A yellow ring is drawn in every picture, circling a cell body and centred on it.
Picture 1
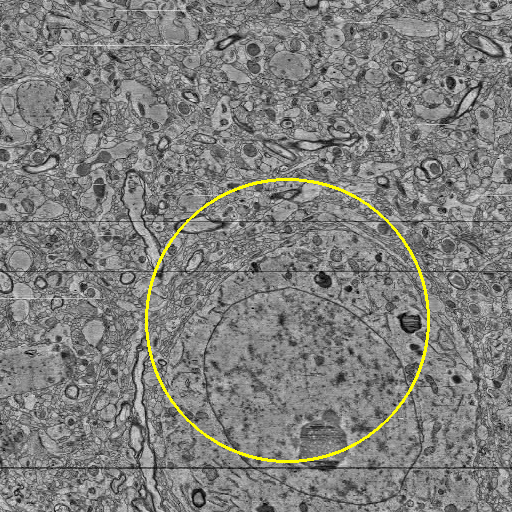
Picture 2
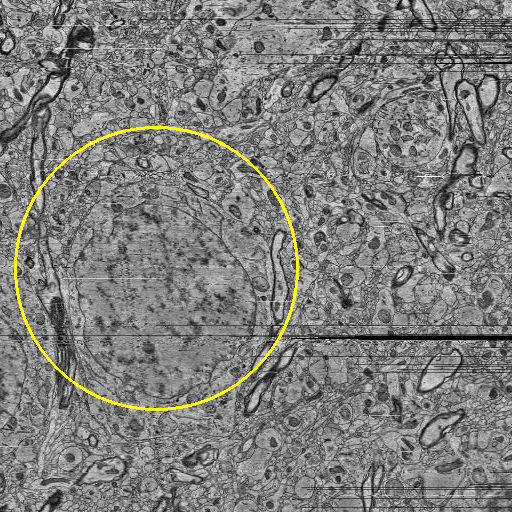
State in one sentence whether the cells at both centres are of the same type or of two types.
The cells at the two ring centres, one per picture, are of the same type.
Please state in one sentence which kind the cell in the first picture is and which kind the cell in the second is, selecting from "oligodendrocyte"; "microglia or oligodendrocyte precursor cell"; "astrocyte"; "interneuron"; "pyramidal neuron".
In each of the two pictures, the ringed cell is a pyramidal neuron.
